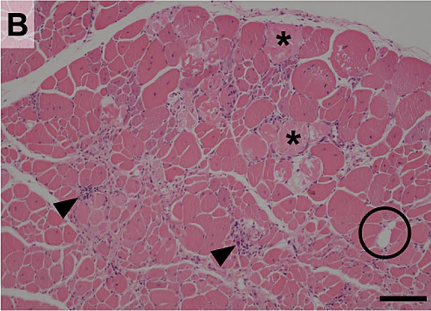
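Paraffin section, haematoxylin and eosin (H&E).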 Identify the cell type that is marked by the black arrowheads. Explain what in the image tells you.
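The arrowheads point to dense clusters of small dark purple nuclei between muscle fibres. The clustered nuclei are small and round, lying in the interstitium.
Answer: inflammatory cells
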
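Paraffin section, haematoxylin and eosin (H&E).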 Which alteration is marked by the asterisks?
Large pale myofibres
